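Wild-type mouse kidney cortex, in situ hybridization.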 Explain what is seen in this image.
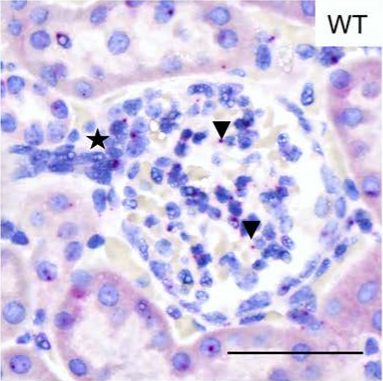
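A renal glomerulus: a round tuft of crowded blue nuclei and capillary lumens sits within a clear space, surrounded by tubules whose cells have pink cytoplasm and round blue nuclei. At one pole a bundle of elongated, tightly packed cells enters the tuft. Small red dots are scattered over cells within the glomerular tuft.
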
